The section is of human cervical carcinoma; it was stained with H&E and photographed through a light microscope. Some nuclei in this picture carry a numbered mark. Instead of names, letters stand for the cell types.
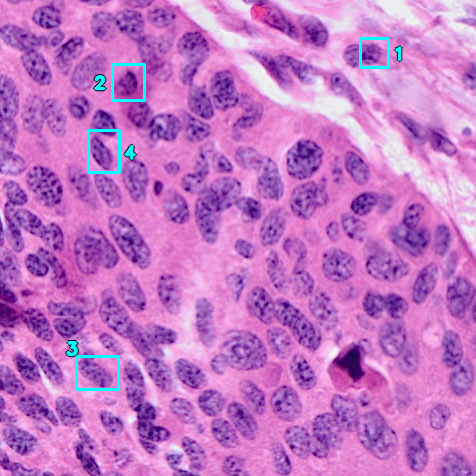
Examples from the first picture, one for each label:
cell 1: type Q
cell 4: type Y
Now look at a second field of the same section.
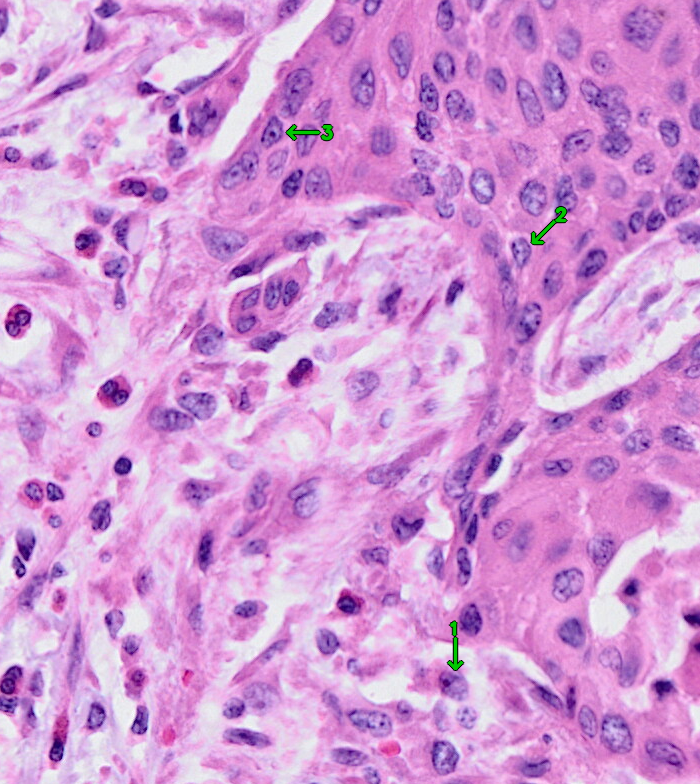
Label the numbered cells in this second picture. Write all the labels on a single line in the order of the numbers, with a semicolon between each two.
type Q; type Y; type Y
